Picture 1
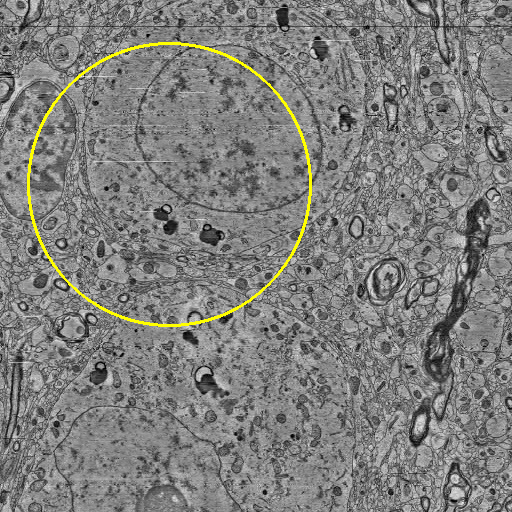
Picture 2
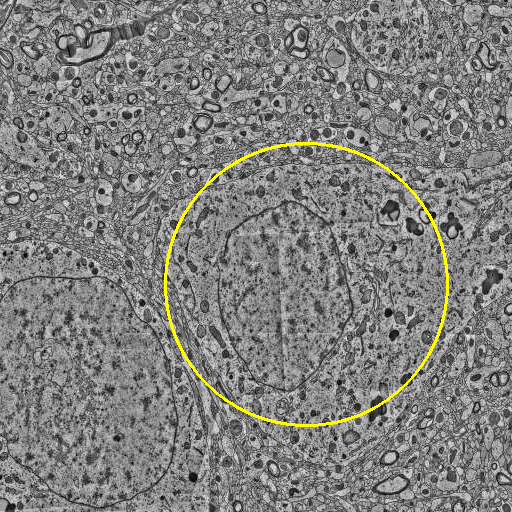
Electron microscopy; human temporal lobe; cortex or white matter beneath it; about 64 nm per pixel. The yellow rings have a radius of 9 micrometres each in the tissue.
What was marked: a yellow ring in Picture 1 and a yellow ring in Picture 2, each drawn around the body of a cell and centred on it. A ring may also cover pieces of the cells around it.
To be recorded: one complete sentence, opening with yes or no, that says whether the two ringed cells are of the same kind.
Yes, the two ringed cells are of the same kind.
